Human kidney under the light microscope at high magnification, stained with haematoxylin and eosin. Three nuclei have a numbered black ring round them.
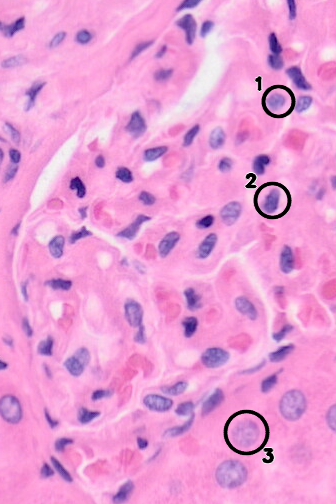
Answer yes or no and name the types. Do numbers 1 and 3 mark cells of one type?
No, sorry to say, cell 1 is an endothelial cell and cell 3 is a proximal tubule cell.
